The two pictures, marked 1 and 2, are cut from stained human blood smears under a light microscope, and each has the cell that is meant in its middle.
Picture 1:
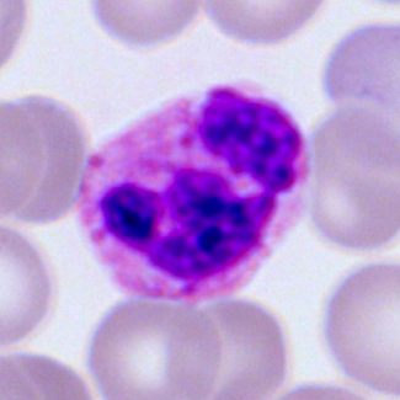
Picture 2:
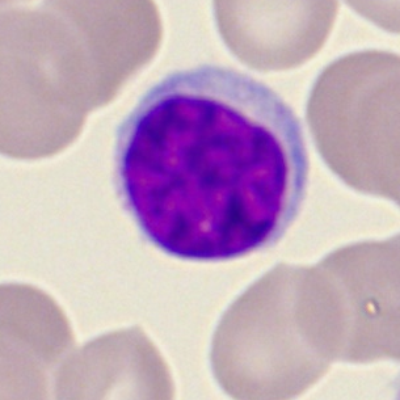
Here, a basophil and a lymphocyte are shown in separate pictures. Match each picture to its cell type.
1: basophil
2: lymphocyte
